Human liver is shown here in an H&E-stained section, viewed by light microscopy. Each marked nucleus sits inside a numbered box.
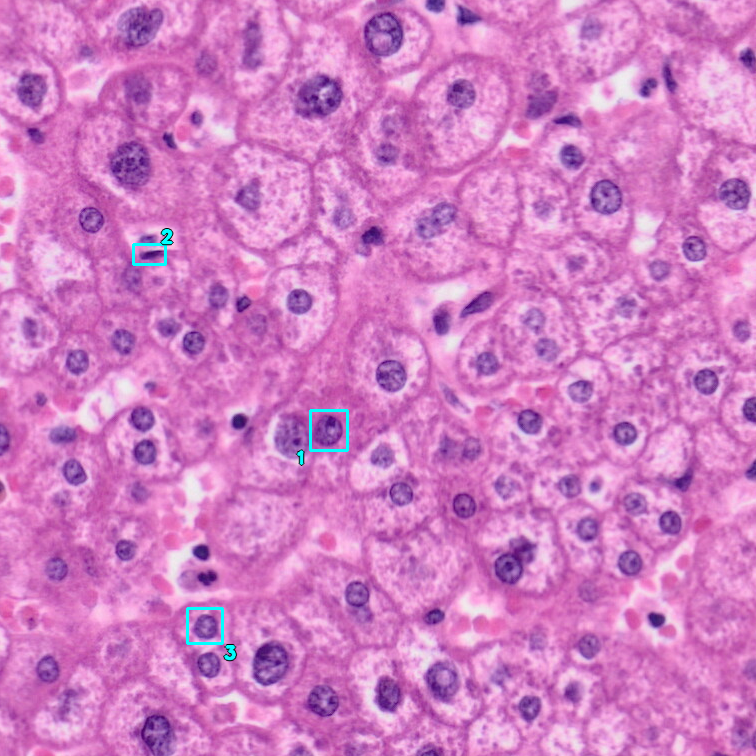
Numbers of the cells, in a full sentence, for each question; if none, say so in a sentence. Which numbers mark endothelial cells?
Nothing but cell 2 is an endothelial cell among the numbered ones.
